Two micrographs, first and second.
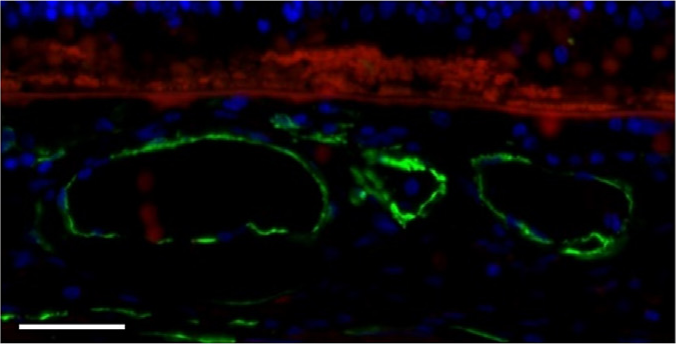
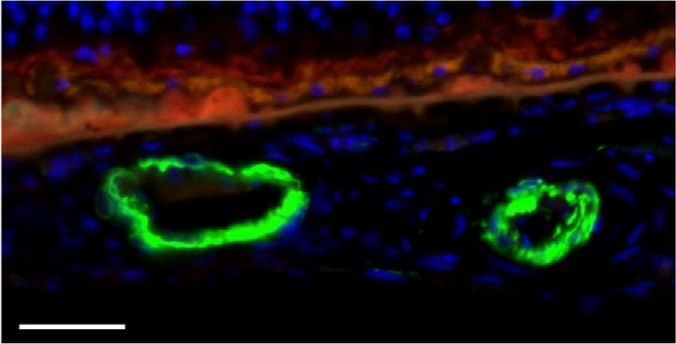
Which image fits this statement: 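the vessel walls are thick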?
The second image.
